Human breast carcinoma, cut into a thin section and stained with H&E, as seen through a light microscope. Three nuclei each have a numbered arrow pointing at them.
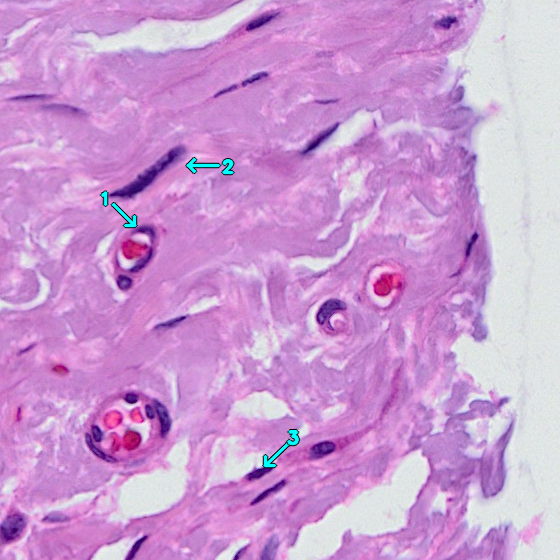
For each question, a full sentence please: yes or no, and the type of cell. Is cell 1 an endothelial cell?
Yes, it checks out; the cell labelled 1 is an endothelial cell.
